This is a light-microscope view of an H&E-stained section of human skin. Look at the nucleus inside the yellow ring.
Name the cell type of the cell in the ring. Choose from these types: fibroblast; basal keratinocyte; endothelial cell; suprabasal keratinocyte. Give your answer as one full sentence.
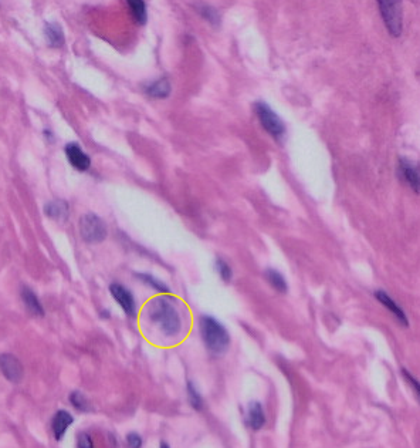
Cell type answer for this item: the cell in the ring is an endothelial cell.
